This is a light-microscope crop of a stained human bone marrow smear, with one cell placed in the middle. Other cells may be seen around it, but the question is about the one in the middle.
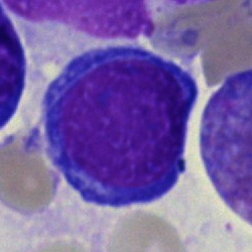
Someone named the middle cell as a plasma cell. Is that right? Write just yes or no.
no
